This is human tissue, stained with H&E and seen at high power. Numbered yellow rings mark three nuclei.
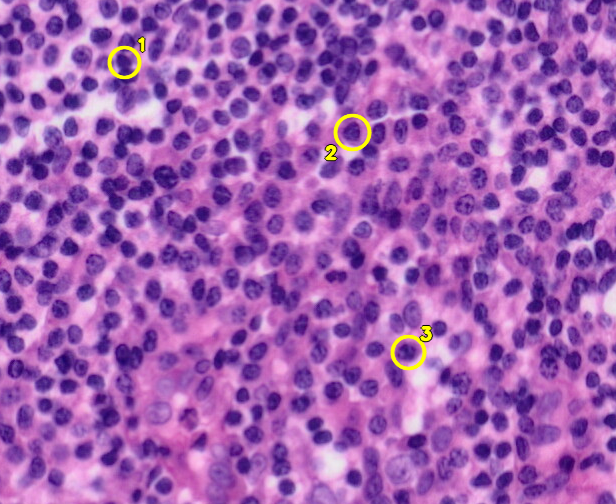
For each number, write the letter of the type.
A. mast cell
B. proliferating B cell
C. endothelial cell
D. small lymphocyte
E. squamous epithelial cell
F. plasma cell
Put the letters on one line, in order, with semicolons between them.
D; F; F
